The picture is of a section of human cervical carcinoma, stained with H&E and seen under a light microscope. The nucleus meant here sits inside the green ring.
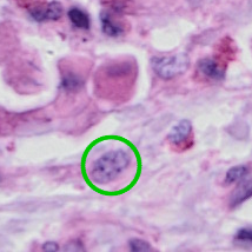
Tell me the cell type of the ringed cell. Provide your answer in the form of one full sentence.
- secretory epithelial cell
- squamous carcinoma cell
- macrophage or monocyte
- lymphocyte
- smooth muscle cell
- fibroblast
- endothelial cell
As a matter of cell type, the ringed cell is a macrophage or monocyte.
